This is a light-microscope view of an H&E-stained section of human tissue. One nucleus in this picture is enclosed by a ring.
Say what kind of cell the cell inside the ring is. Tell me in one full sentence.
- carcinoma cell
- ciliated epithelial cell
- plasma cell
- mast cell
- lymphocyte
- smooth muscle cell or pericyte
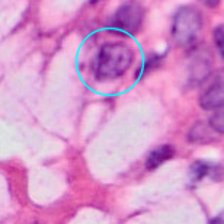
Recorded by type, the cell inside the ring is a ciliated epithelial cell.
